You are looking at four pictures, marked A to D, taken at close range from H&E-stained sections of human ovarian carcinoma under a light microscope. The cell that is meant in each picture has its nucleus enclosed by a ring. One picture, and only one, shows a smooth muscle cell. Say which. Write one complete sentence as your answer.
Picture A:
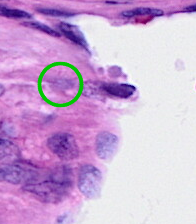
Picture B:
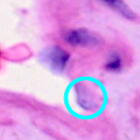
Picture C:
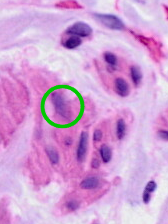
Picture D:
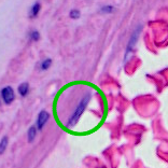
It is picture C that shows the smooth muscle cell.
